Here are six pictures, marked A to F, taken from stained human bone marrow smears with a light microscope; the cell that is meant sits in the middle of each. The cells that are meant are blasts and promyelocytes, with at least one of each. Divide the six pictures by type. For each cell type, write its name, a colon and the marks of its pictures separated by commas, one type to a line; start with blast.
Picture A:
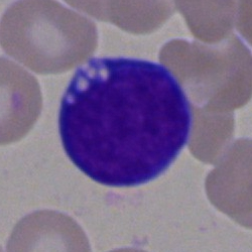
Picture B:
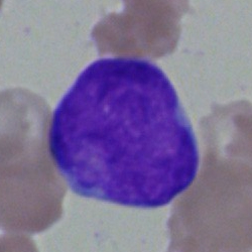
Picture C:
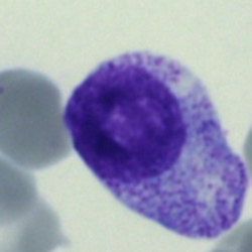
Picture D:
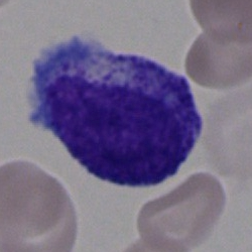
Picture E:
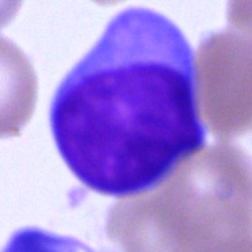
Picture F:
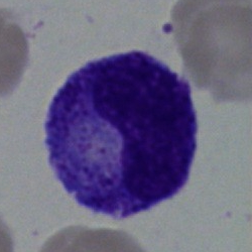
blast: A, B, E
promyelocyte: C, D, F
